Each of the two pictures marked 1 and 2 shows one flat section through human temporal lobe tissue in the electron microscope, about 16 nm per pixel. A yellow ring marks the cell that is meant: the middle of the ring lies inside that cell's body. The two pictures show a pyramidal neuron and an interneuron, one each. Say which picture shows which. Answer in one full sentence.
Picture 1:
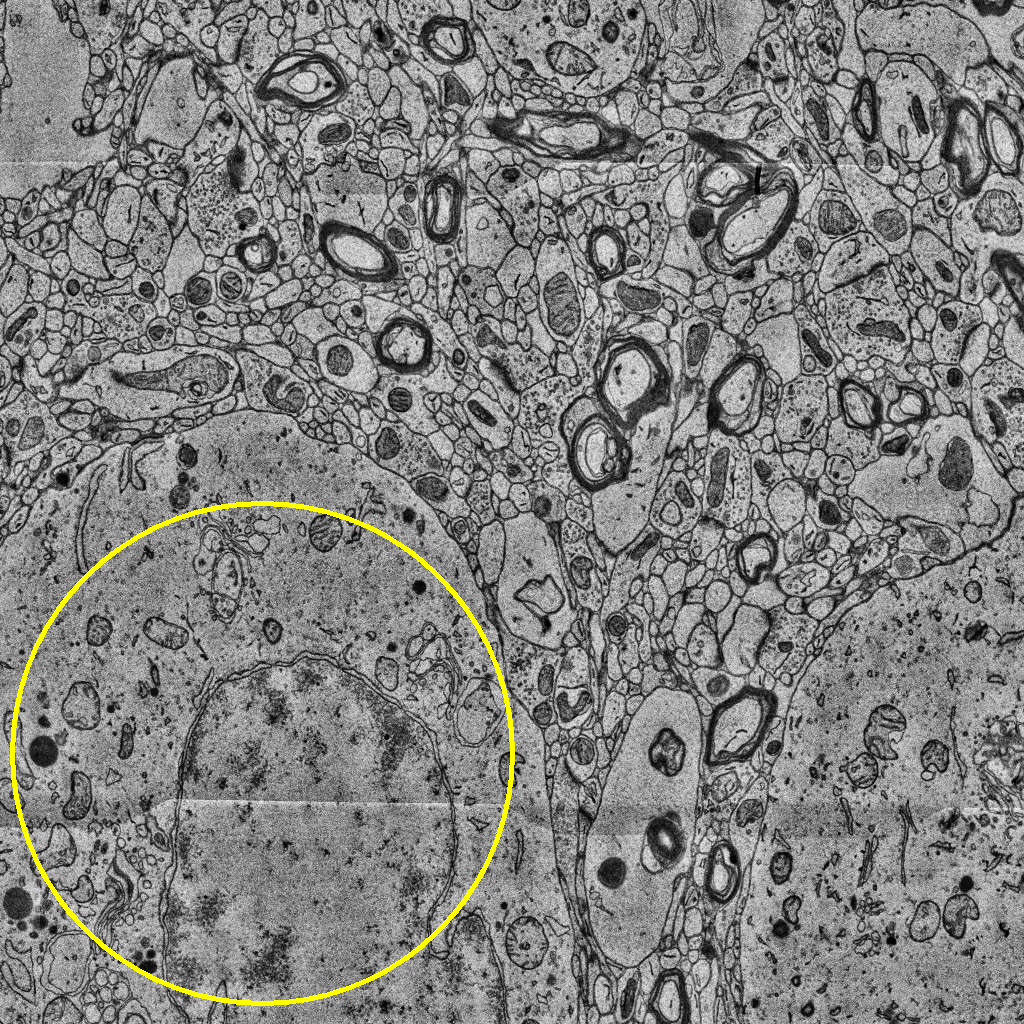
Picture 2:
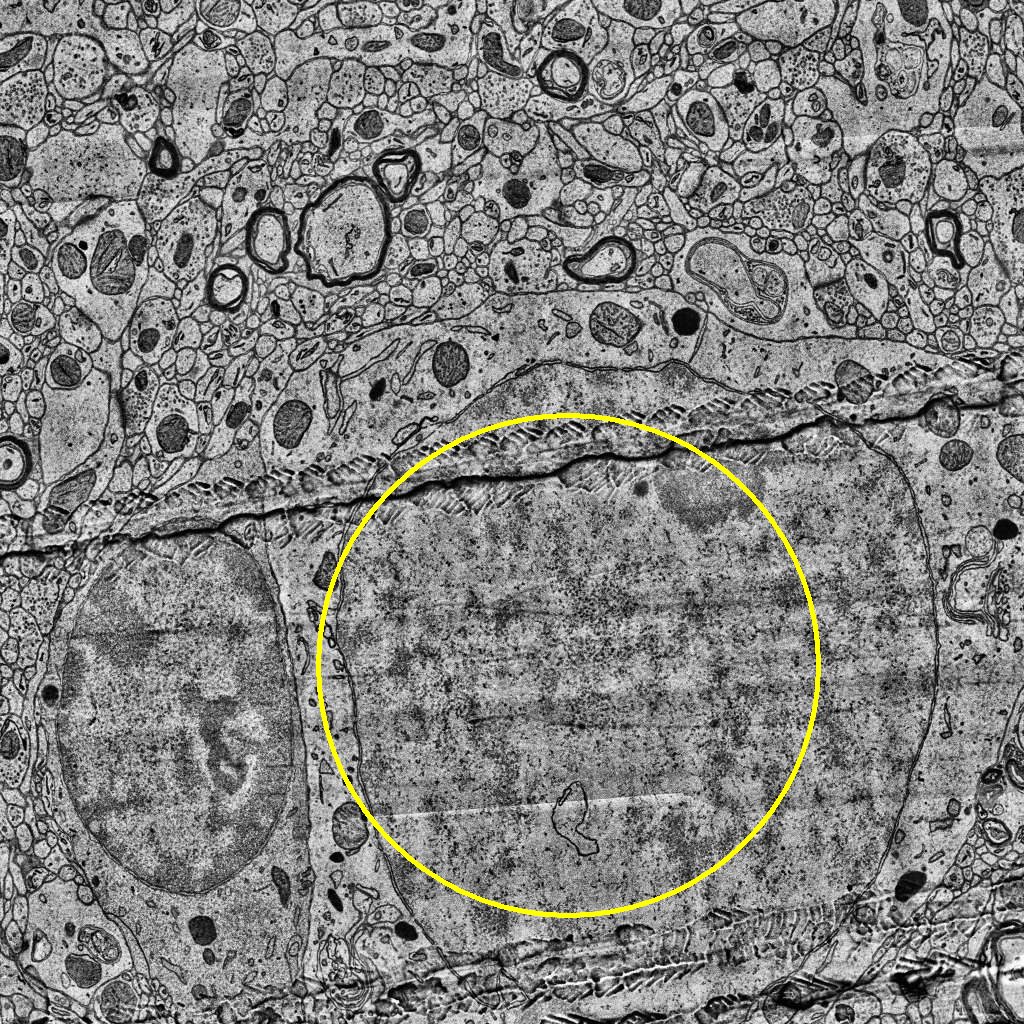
In picture 1 the cell is an interneuron; in picture 2, a pyramidal neuron.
